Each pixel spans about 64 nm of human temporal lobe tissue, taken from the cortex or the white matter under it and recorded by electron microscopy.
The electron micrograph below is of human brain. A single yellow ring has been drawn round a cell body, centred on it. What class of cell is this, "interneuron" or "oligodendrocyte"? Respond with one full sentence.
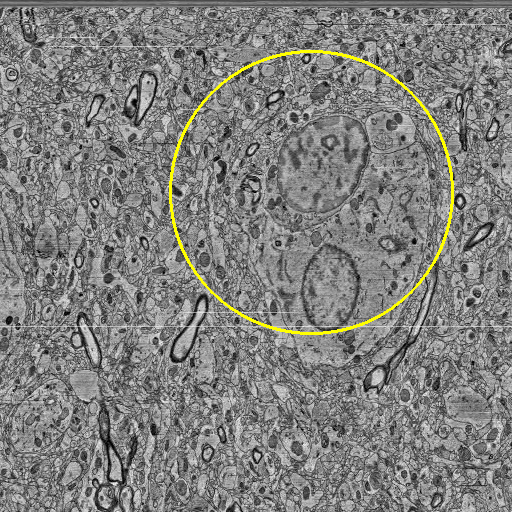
In the micrograph, the cell centred inside the yellow ring is an oligodendrocyte.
